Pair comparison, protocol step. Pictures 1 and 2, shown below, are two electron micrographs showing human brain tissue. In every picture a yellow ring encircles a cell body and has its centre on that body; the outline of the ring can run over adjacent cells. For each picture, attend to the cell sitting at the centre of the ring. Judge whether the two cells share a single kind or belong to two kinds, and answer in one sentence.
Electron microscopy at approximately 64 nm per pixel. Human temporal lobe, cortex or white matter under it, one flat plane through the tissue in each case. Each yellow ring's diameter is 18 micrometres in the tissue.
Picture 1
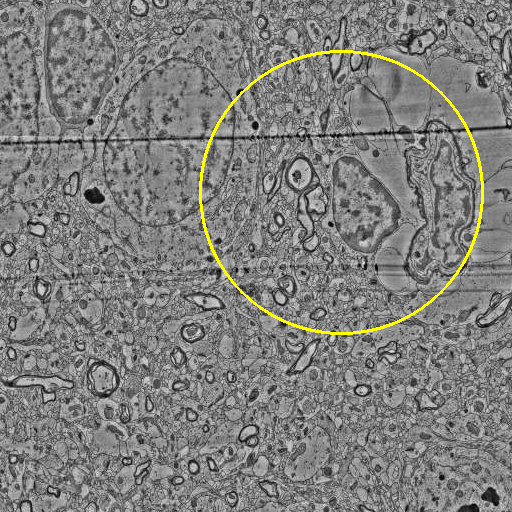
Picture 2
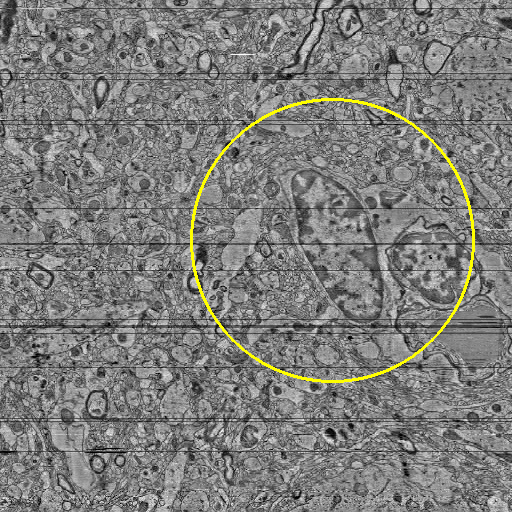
The two cells at the ring centres in Picture 1 and Picture 2 share a single kind.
